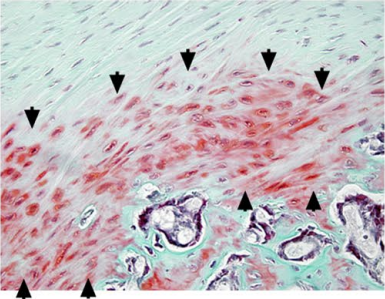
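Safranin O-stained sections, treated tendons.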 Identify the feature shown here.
Transitional zone of bone, cartilage, and fibrous tissue.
